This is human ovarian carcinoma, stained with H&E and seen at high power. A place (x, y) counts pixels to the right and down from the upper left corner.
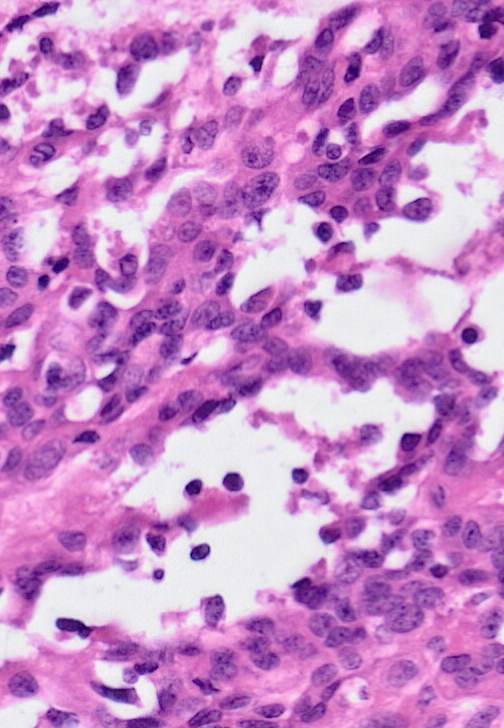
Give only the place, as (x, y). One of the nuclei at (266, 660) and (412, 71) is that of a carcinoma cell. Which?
(412, 71)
